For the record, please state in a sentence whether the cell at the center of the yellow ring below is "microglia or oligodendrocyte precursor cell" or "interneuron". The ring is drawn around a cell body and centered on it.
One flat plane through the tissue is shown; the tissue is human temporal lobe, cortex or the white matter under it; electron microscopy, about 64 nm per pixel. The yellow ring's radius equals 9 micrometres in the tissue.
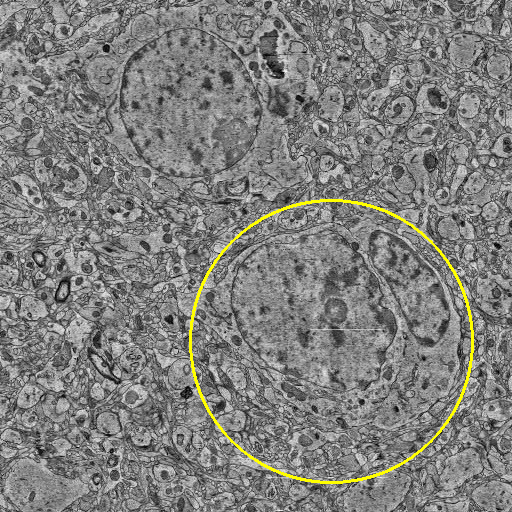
The cell at the ring's center is an interneuron.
